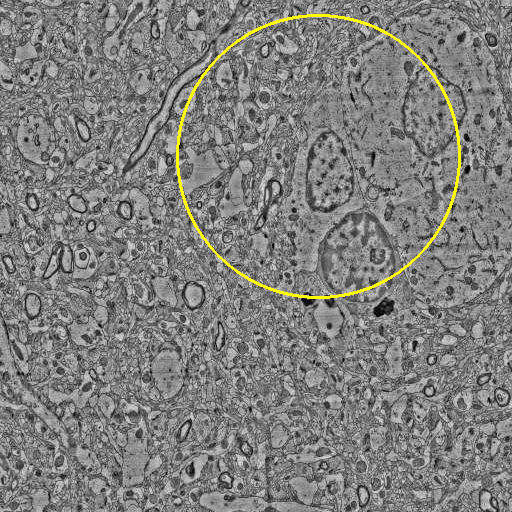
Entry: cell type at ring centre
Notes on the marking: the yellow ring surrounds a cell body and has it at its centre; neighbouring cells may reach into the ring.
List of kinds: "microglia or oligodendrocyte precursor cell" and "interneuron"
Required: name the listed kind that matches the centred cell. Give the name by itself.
microglia or oligodendrocyte precursor cell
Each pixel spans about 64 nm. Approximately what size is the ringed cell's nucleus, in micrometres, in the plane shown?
The ringed cell's nucleus is roughly 5 by 3 micrometres and clearly longer than it is wide in this plane.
